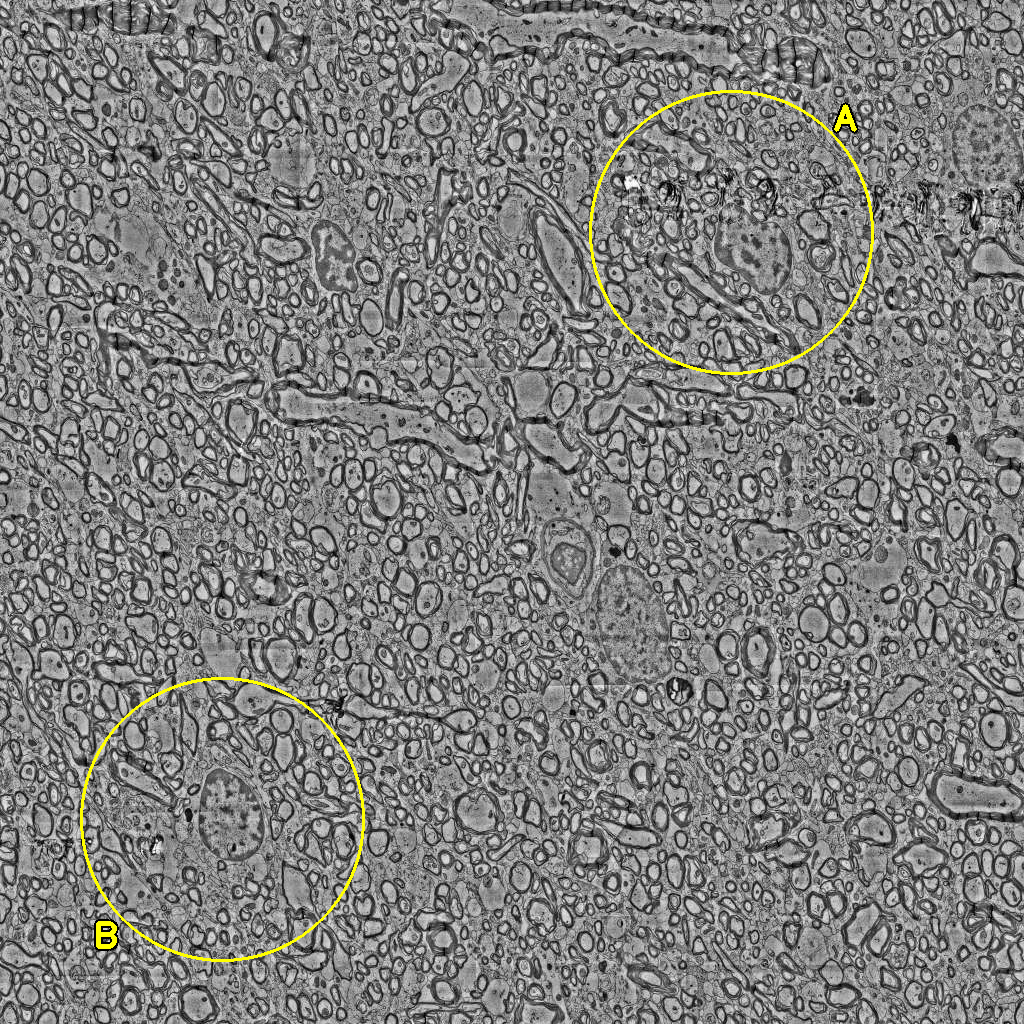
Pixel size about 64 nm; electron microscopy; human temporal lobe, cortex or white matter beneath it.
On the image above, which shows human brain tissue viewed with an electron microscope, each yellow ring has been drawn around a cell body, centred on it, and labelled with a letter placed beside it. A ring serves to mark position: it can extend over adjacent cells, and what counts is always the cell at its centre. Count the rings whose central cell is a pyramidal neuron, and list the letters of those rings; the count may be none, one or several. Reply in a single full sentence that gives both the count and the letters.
Zero is the count here, since none of the rings sits centred on a pyramidal neuron.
